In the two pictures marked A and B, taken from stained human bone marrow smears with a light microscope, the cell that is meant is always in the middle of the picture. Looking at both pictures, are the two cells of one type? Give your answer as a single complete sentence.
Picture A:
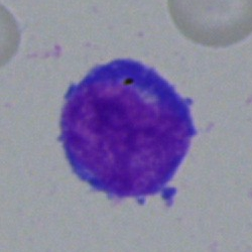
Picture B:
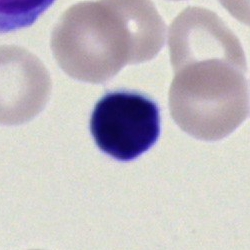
No, picture A shows a blast and picture B shows a lymphocyte.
